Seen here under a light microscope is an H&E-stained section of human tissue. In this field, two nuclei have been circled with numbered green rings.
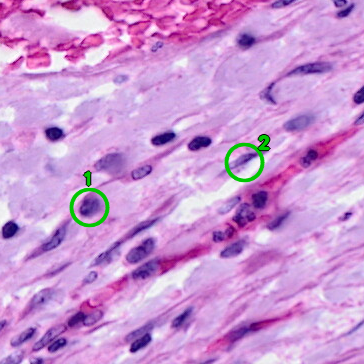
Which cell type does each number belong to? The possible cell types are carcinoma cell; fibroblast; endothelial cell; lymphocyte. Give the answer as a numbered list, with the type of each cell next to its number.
1. lymphocyte
2. fibroblast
